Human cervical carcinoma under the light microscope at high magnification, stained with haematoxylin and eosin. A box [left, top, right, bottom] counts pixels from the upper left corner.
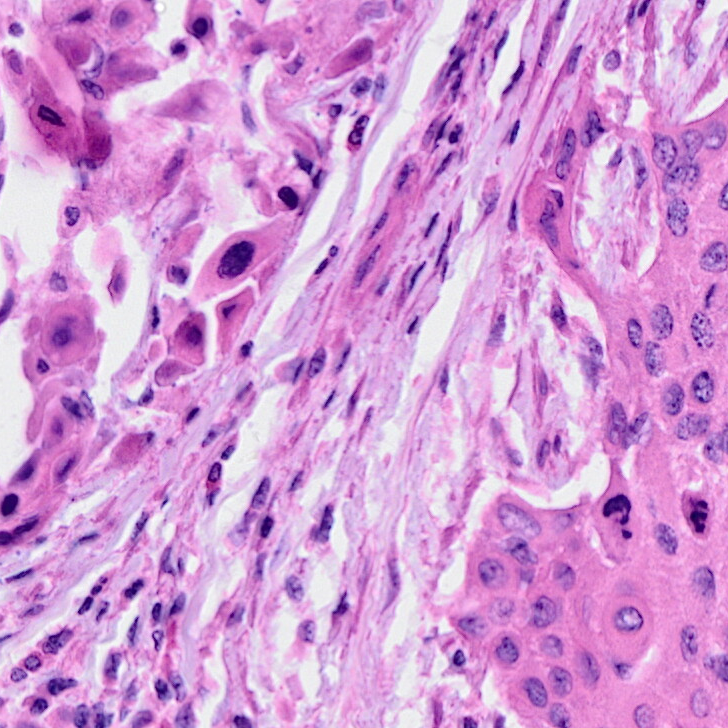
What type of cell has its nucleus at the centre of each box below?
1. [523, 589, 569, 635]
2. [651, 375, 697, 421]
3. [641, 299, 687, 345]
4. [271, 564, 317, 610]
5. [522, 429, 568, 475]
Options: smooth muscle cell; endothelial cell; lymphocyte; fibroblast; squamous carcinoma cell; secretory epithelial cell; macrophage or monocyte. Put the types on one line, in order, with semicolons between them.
squamous carcinoma cell; squamous carcinoma cell; squamous carcinoma cell; fibroblast; fibroblast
